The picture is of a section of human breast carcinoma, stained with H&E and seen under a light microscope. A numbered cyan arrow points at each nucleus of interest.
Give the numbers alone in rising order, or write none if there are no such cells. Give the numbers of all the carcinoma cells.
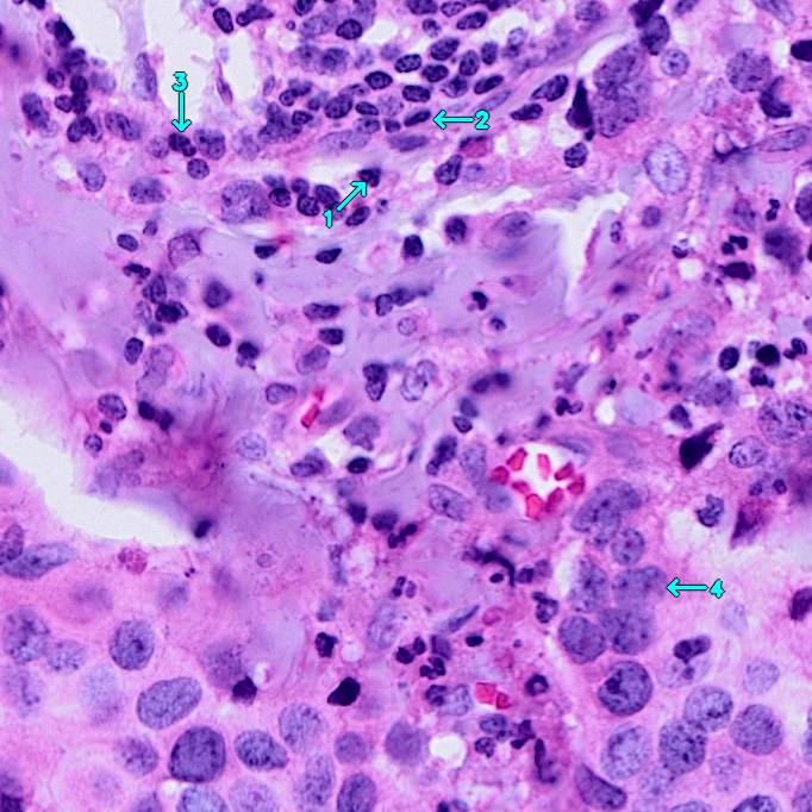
4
